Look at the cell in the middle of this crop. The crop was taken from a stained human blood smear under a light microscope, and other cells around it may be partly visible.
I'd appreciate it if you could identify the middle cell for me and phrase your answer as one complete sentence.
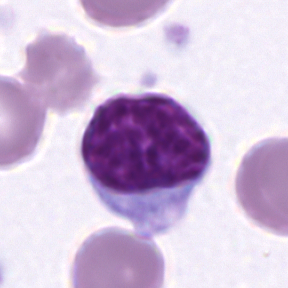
The cell that lies at the centre of the crop is a plasma cell.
